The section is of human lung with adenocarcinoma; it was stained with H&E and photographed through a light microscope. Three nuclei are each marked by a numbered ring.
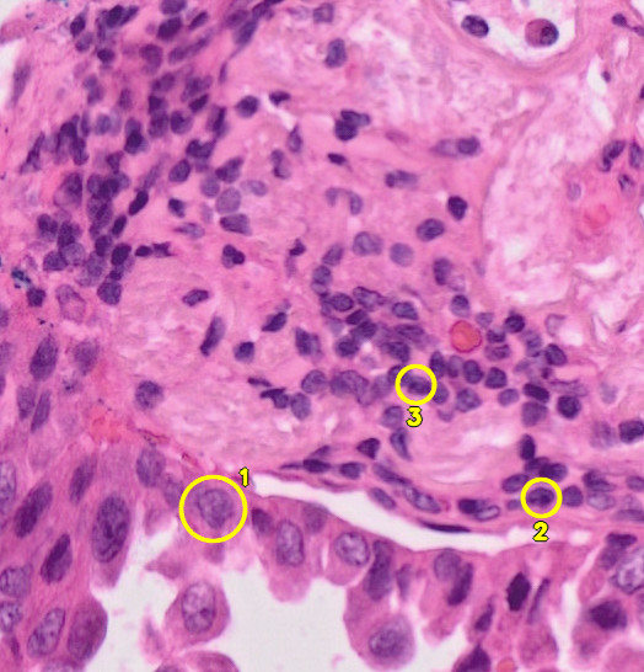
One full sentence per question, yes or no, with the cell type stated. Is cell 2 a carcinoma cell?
No, the cell under number 2 is a lymphocyte, not a carcinoma cell.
